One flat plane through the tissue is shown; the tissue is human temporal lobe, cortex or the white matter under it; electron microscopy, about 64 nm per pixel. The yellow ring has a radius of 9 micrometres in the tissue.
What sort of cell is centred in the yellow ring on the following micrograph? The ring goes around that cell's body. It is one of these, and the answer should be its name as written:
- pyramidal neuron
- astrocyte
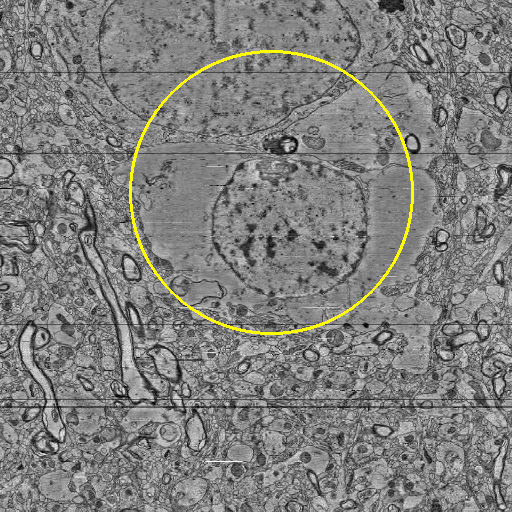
astrocyte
